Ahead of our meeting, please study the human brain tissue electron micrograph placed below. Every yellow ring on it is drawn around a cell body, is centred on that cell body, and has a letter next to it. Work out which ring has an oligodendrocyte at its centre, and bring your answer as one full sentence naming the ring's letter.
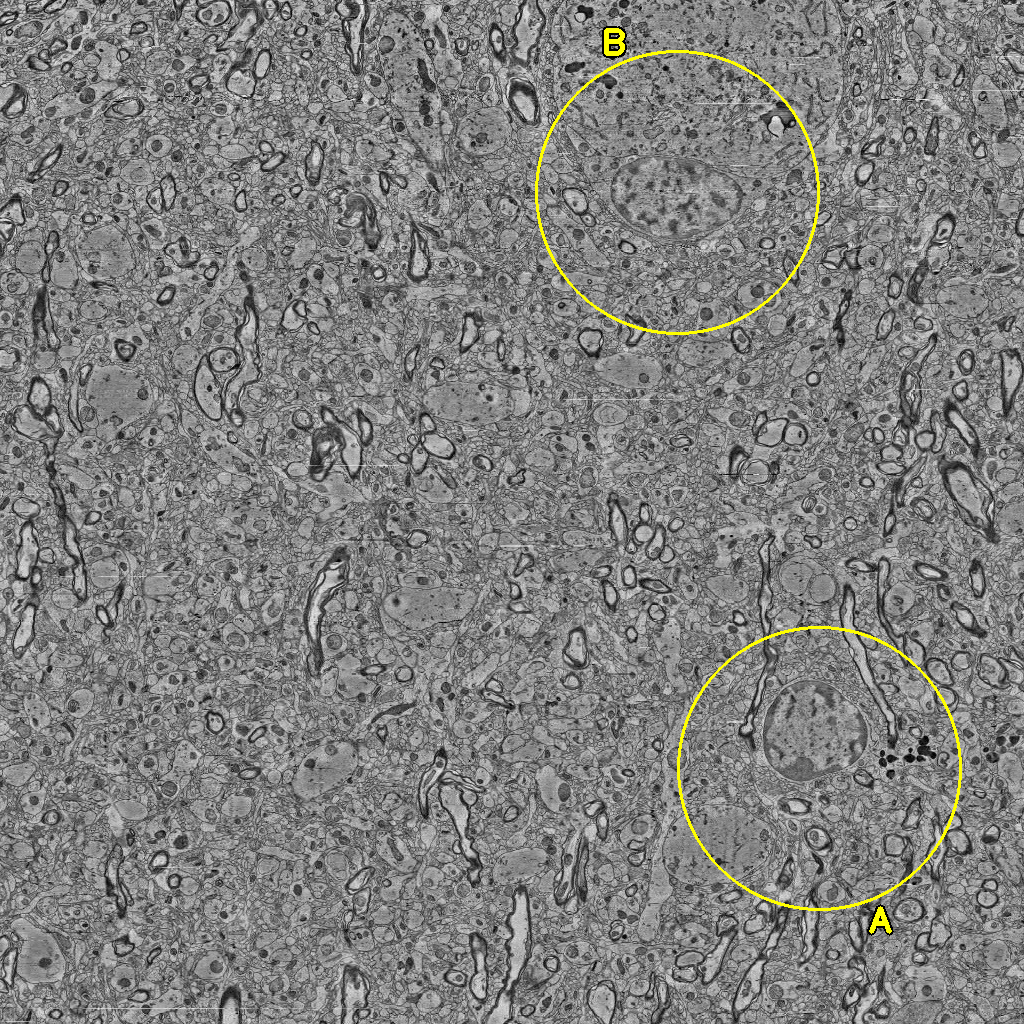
In the micrograph, ring B is the one centred on the cell I was asked to find.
